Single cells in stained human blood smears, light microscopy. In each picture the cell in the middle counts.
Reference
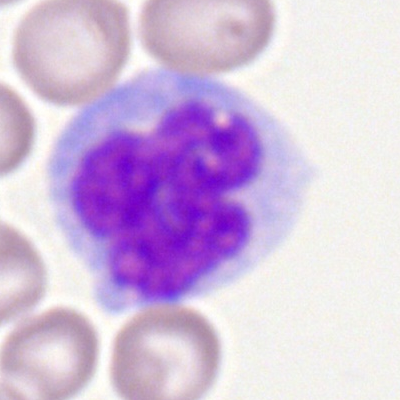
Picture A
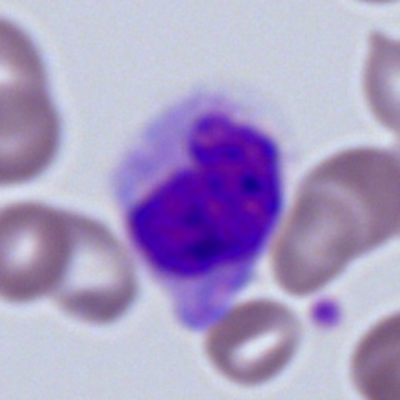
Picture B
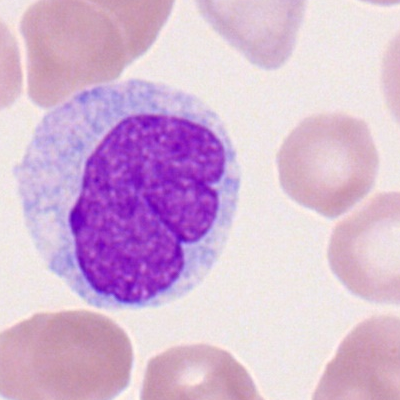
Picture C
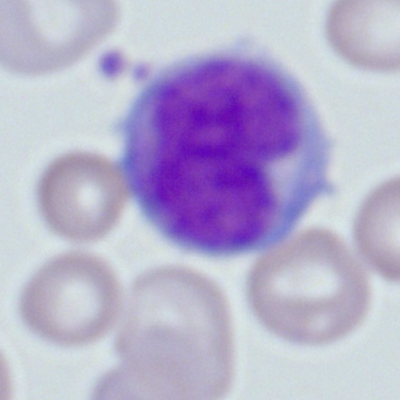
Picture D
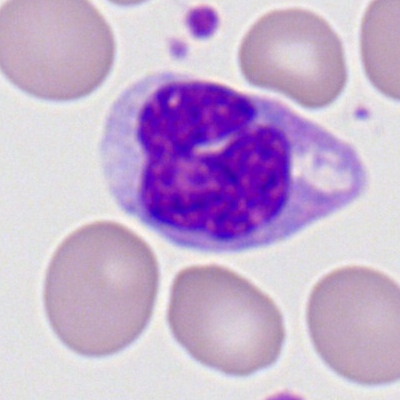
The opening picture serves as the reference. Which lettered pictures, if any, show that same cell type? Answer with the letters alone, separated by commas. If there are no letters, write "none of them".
A, B, C, D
